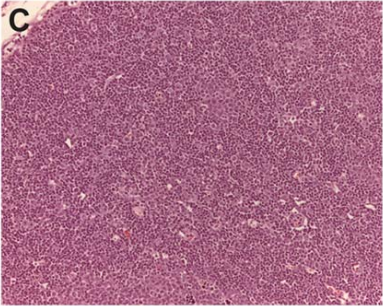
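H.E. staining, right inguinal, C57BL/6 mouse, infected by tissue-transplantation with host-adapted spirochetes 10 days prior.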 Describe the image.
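This is lymph node tissue filled with densely packed small lymphoid cells. The cells have round, dark purple nuclei and scant cytoplasm. They form a continuous, uniform sheet across the whole field. No follicles or other separate compartments can be made out. Small vessels and a few scattered paler cells lie between the packed cells.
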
